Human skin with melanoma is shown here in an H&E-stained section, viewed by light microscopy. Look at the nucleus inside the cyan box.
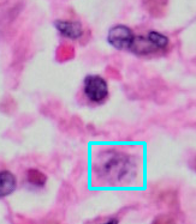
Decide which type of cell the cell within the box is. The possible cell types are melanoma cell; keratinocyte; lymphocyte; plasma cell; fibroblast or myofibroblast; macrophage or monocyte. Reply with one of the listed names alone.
fibroblast or myofibroblast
